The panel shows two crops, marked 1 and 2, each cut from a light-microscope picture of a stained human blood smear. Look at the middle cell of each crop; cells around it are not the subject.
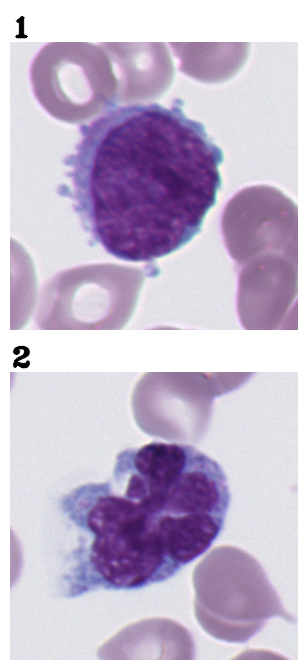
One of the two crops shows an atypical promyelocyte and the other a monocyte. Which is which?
1: atypical promyelocyte
2: monocyte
